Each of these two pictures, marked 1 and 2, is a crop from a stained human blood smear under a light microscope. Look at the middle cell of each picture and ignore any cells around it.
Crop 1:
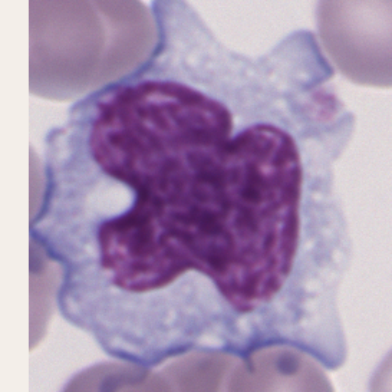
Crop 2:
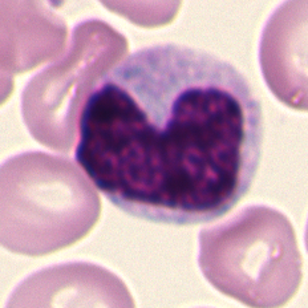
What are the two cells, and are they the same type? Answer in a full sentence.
No, in crop 2 the central cell is a band neutrophil, and in crop 1 it is a monocyte.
